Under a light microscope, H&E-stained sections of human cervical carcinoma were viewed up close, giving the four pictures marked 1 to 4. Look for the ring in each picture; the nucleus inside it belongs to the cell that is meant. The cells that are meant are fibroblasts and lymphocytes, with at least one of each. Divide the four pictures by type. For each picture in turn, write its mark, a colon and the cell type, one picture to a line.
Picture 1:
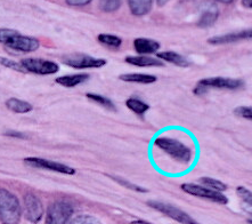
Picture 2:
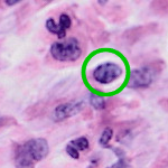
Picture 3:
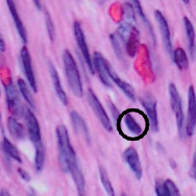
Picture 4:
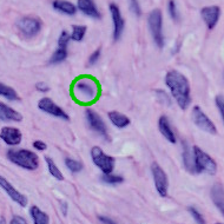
1: fibroblast
2: lymphocyte
3: fibroblast
4: fibroblast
